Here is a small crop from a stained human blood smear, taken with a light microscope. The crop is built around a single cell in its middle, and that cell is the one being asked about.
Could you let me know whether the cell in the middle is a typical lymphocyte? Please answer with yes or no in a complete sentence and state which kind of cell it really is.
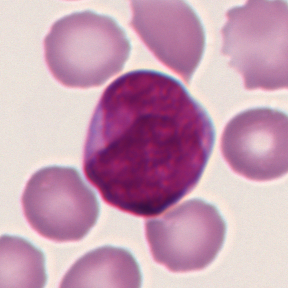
No, the central cell is properly termed a myeloblast, not a typical lymphocyte.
